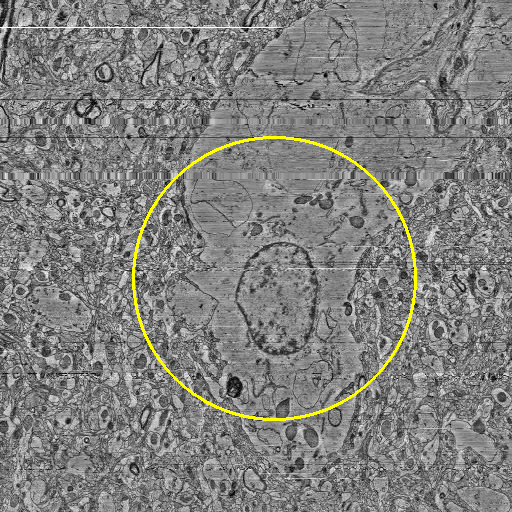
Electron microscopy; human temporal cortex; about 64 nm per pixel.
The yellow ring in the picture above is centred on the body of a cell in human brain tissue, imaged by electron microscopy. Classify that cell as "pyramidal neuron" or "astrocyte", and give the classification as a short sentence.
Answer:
The cell in the middle of the ring is an astrocyte.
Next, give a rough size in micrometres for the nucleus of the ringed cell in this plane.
Approximately 7 micrometres long and 5 micrometres wide, in this plane.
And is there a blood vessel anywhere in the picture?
Yes, a blood vessel shows in the picture.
